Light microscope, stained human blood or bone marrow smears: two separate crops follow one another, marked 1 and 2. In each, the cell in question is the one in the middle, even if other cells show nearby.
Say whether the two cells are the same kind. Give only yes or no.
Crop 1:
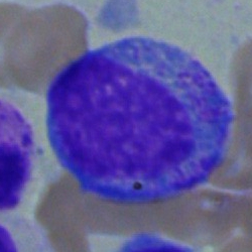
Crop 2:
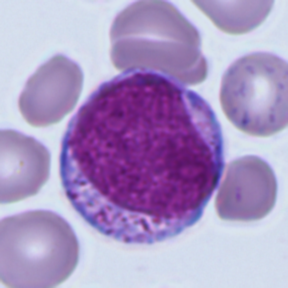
yes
